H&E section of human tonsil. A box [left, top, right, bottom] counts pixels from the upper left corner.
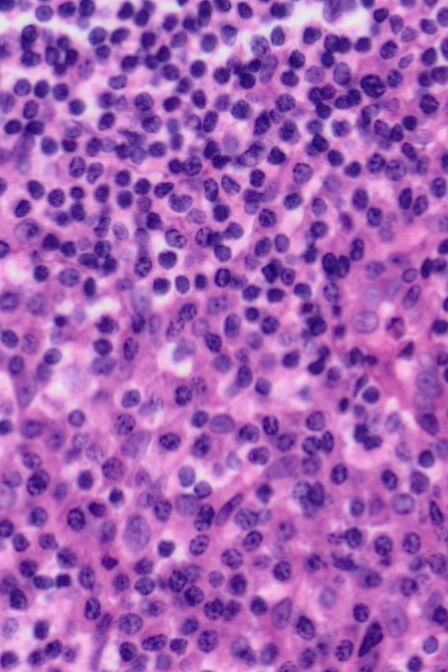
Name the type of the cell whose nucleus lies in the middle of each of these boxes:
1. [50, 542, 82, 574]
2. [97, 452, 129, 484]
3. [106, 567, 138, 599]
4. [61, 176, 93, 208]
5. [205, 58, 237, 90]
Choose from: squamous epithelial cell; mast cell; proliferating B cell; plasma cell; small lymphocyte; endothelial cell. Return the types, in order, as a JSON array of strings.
["plasma cell", "plasma cell", "plasma cell", "small lymphocyte", "small lymphocyte"]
